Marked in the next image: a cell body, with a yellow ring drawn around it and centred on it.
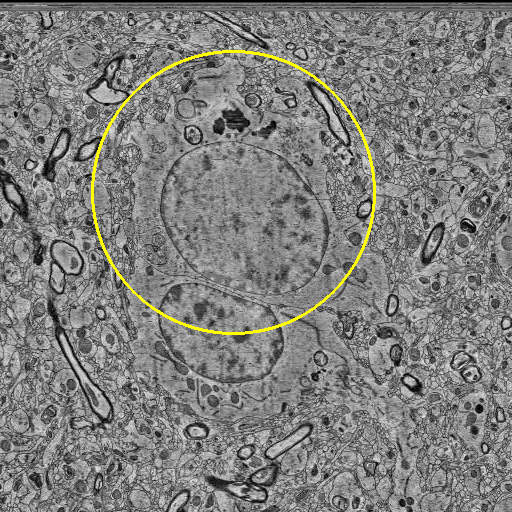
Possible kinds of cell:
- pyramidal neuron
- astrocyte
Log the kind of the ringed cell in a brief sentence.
The ringed cell body is that of an astrocyte.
